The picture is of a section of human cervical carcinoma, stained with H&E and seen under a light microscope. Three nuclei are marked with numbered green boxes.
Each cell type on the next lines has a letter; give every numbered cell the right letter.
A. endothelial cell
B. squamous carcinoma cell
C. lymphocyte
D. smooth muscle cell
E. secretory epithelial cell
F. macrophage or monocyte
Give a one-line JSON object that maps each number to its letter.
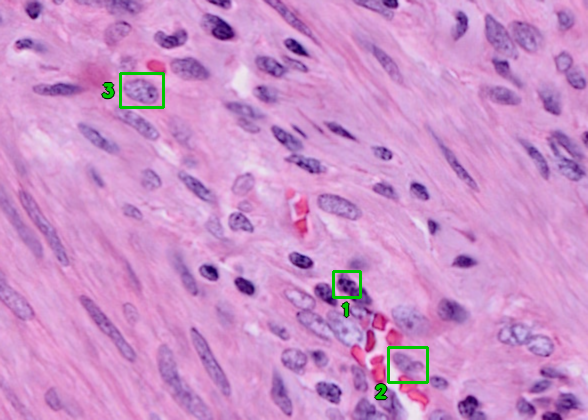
{"1": "C", "2": "A", "3": "A"}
